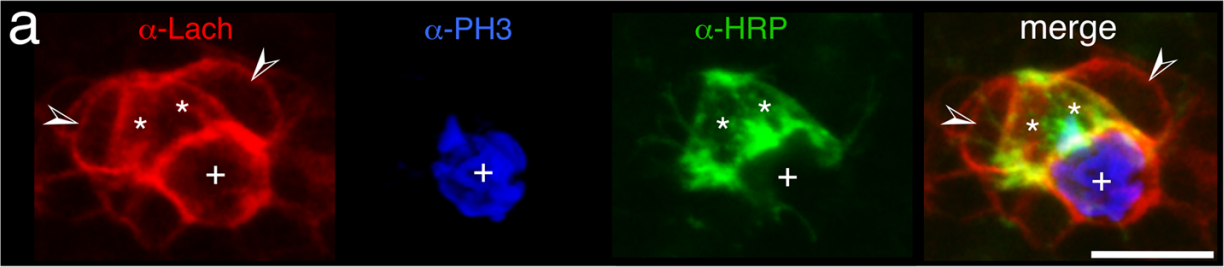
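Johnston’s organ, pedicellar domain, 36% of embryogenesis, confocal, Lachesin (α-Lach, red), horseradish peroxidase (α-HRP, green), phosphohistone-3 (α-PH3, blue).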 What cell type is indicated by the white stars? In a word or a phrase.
differentiated neurons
